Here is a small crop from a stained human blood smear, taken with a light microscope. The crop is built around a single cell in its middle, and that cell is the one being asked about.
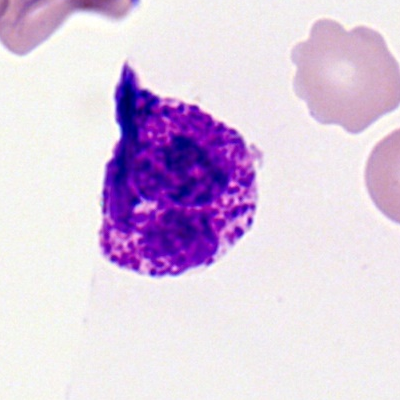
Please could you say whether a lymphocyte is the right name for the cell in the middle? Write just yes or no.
no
